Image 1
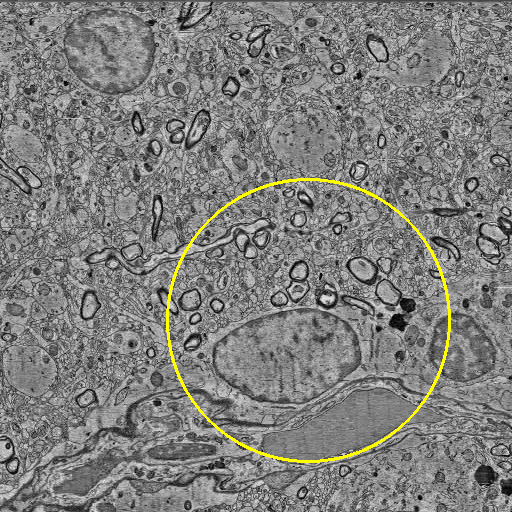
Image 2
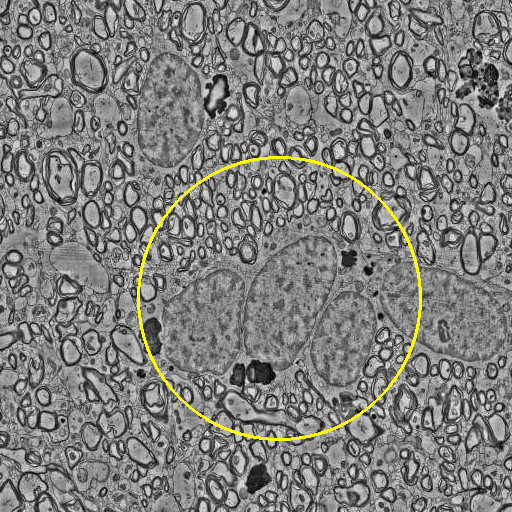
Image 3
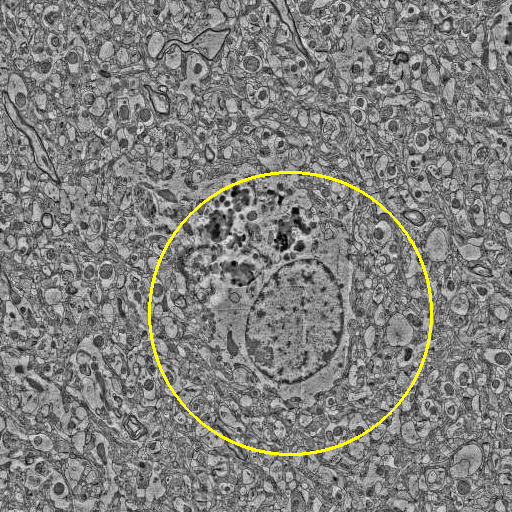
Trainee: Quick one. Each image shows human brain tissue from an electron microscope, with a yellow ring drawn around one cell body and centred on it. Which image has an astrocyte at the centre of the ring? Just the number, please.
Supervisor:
3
